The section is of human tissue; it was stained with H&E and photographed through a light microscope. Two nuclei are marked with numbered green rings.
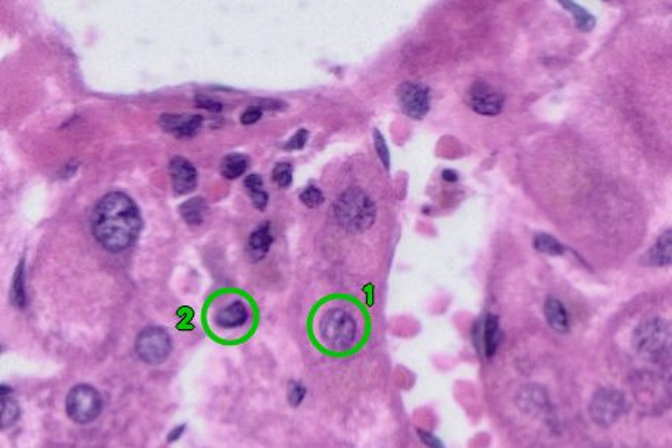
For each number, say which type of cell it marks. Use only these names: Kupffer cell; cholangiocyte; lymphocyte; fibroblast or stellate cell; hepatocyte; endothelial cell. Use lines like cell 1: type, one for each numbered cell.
cell 1: hepatocyte
cell 2: fibroblast or stellate cell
